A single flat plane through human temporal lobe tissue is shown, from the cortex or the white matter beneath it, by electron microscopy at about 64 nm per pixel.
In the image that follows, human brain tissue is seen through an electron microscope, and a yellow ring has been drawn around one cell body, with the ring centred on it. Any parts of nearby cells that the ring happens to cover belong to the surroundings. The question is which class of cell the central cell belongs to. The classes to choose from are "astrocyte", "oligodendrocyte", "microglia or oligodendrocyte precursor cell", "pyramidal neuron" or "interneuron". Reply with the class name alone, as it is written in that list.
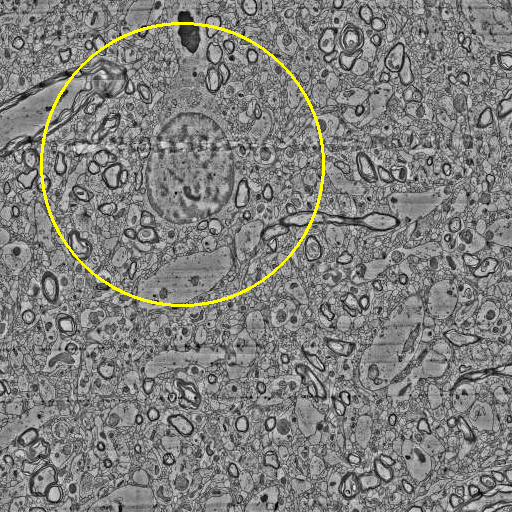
oligodendrocyte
